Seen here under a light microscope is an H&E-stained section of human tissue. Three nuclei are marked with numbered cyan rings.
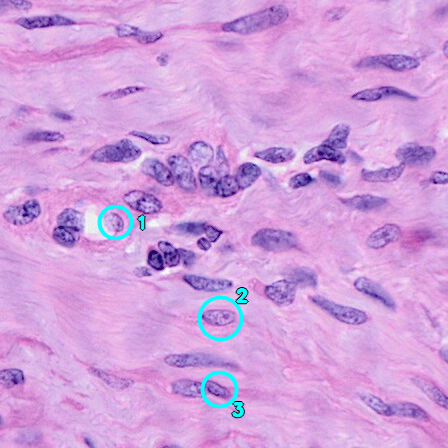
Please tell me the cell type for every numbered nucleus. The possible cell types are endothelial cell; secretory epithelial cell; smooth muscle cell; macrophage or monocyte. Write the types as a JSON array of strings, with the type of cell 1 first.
["endothelial cell", "smooth muscle cell", "smooth muscle cell"]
